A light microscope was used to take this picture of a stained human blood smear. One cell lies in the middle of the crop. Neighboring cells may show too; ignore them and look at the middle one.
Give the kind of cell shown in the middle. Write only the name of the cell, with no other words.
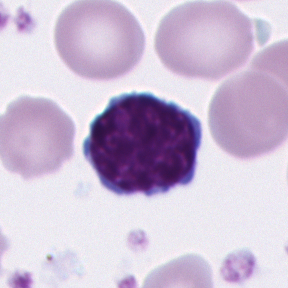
typical lymphocyte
